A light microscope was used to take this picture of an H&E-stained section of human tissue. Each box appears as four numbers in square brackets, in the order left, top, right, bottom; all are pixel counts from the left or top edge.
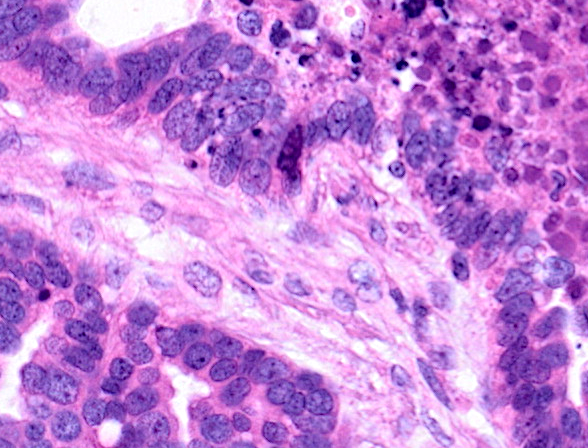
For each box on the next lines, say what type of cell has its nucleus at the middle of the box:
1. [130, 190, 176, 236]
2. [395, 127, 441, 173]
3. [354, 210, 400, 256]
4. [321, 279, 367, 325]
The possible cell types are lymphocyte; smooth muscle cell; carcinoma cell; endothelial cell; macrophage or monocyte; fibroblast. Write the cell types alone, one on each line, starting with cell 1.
fibroblast
carcinoma cell
fibroblast
fibroblast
